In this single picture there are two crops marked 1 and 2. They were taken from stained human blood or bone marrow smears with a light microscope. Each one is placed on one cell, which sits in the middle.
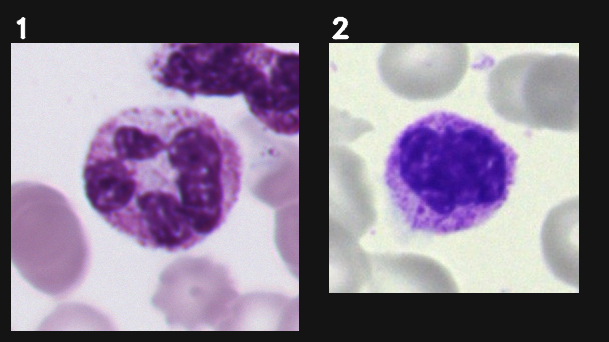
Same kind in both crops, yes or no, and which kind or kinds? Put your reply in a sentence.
No, it is crop 1 that shows a segmented neutrophil, and crop 2 shows a basophil.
